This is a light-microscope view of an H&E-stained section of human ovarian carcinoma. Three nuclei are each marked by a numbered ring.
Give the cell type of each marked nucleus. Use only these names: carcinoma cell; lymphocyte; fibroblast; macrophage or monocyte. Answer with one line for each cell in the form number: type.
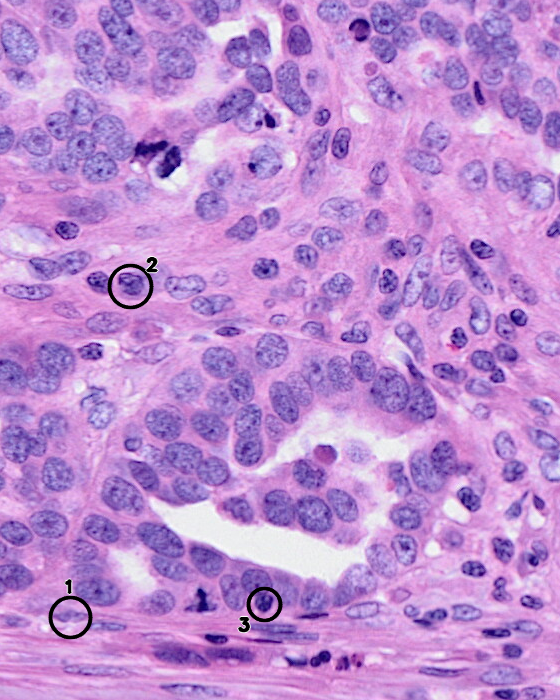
1: fibroblast
2: lymphocyte
3: lymphocyte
